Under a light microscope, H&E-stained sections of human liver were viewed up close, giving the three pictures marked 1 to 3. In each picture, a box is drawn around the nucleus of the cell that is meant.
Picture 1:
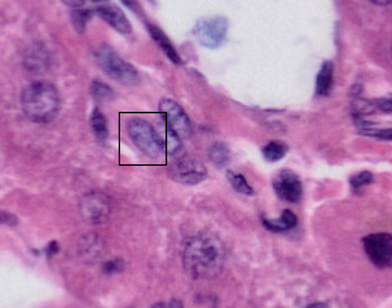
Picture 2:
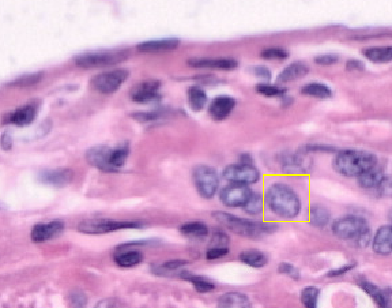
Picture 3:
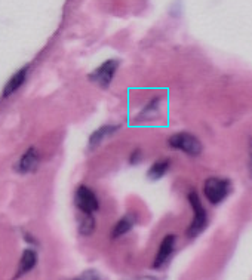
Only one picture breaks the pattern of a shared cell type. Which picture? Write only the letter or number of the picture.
3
